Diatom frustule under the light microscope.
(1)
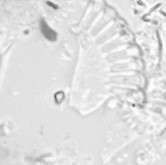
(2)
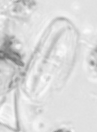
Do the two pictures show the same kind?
No: Cyclotella, then Achnanthidium.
